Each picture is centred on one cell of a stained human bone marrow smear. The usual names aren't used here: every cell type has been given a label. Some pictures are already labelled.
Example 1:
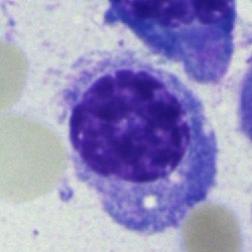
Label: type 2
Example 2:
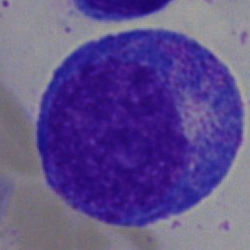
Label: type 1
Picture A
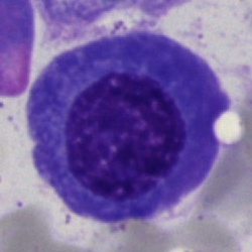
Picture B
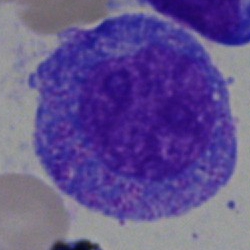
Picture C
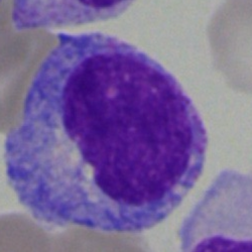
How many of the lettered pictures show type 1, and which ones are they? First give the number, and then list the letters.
Count: 2 (B, C)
